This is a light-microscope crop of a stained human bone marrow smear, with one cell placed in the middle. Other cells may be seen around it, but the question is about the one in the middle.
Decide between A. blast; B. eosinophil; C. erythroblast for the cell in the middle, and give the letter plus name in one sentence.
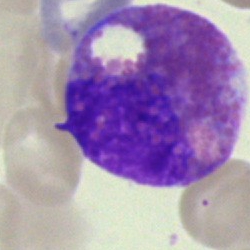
The middle of the crop contains an eosinophil, so option B is right.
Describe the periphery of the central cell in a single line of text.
Instead of a smooth edge, this cell has an irregular one, ragged or with projections.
